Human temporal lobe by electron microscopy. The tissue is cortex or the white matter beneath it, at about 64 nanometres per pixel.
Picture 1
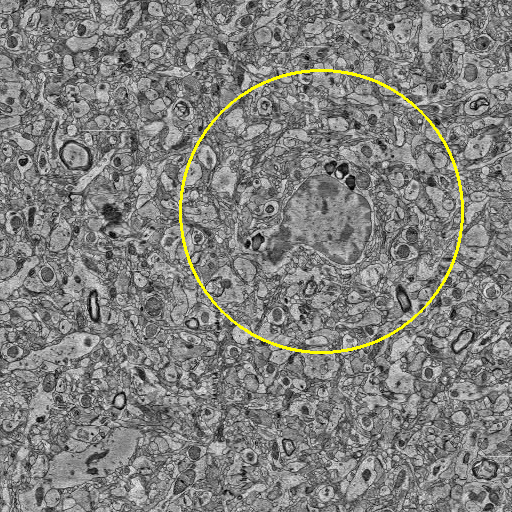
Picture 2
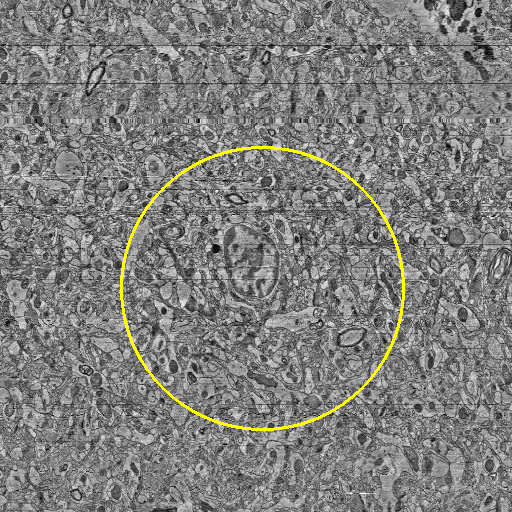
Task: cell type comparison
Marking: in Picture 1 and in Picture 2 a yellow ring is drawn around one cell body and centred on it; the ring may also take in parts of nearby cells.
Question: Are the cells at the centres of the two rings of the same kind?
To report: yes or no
yes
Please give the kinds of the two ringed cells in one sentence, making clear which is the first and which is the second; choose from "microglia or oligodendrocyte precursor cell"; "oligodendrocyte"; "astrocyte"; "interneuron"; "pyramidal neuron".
The ring centre holds a microglial cell or oligodendrocyte precursor cell in each of the two pictures.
